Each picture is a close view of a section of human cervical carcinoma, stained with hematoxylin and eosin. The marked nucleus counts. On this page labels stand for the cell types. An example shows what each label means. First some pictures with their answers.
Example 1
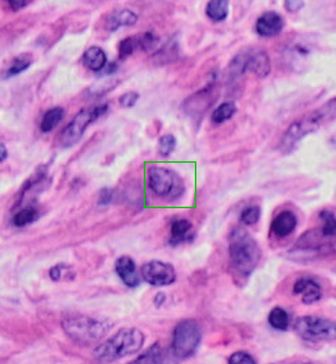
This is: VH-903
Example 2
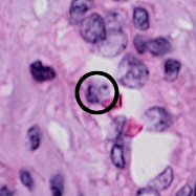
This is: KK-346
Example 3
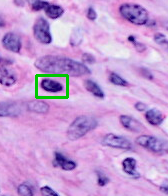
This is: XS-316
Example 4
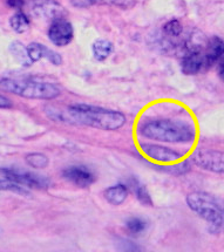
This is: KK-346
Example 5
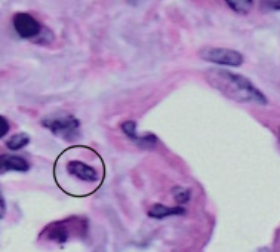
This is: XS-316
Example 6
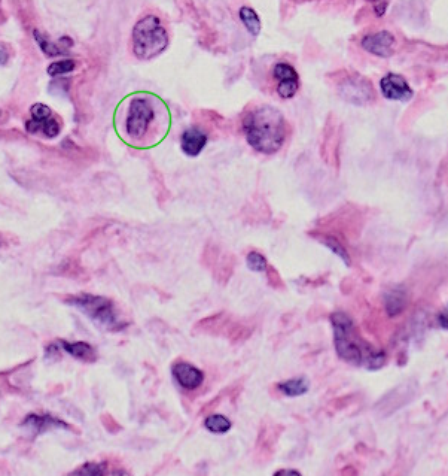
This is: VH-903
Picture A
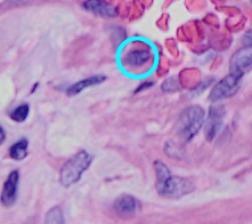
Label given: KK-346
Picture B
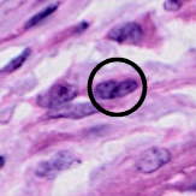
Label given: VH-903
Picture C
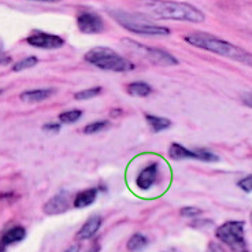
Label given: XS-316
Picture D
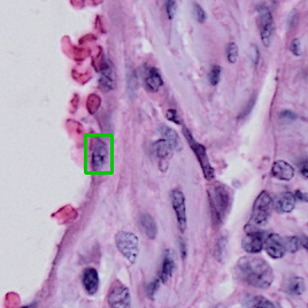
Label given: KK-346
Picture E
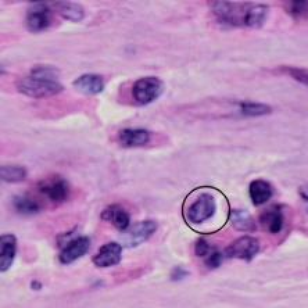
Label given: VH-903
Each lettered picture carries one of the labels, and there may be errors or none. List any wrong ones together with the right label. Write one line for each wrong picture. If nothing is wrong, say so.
E: XS-316, not VH-903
